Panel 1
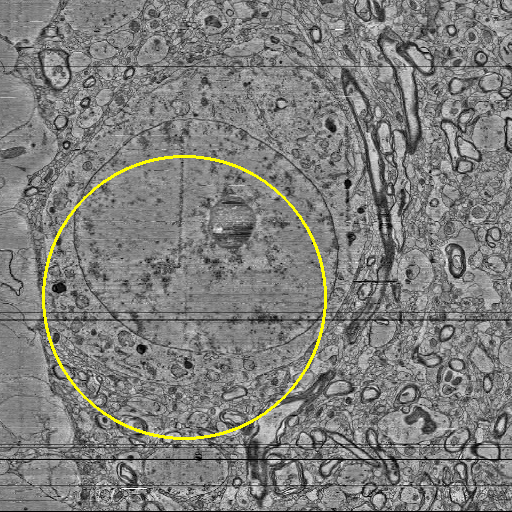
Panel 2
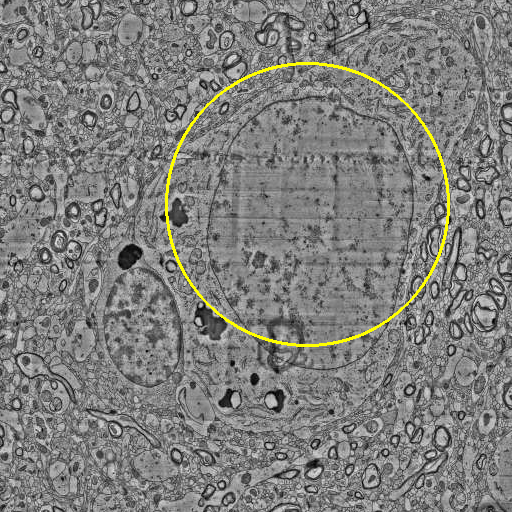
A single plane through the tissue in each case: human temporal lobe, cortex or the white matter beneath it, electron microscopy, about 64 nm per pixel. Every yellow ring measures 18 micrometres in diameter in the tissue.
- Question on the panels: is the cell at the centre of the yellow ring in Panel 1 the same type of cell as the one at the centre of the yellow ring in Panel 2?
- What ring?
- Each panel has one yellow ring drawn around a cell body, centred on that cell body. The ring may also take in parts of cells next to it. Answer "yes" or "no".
yes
